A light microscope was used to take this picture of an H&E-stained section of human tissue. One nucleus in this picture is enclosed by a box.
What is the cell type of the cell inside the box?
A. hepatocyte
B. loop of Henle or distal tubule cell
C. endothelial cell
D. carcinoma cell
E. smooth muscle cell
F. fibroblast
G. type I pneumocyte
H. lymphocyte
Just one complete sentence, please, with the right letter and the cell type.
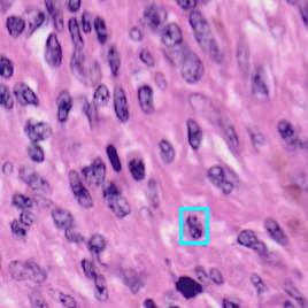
In this item, the cell inside the box is a lymphocyte, and option H is right.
